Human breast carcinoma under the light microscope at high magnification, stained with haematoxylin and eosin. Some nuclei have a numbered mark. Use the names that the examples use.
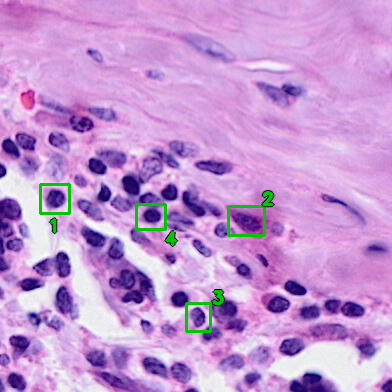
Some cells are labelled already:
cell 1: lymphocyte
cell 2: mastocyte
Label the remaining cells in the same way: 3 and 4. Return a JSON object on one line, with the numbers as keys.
{"3": "lymphocyte", "4": "lymphocyte"}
